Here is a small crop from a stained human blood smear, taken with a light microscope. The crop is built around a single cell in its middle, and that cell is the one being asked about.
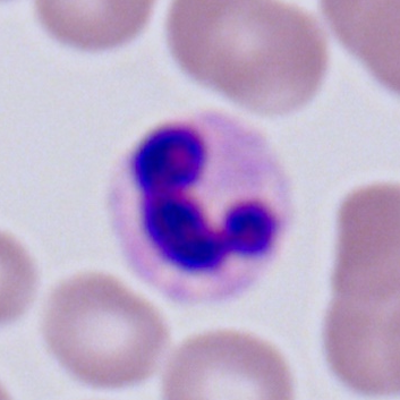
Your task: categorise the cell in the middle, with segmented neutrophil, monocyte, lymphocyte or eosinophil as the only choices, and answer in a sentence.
The cell around which this crop is centred is a segmented neutrophil.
